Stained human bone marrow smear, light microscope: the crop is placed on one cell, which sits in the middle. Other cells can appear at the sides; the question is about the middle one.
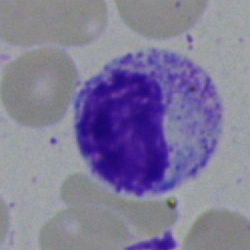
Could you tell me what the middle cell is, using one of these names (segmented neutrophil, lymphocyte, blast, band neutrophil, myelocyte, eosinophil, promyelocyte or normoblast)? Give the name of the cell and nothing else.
myelocyte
